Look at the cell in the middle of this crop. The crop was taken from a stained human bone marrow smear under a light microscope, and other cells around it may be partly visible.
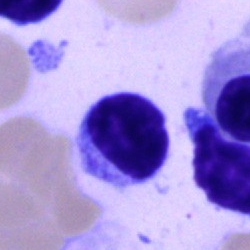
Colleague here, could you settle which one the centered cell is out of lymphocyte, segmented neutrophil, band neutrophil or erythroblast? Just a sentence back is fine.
Seen at the centre of the crop is a lymphocyte.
